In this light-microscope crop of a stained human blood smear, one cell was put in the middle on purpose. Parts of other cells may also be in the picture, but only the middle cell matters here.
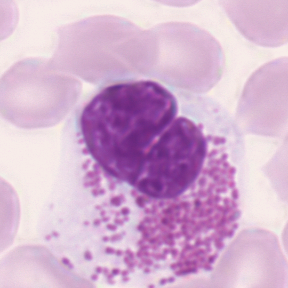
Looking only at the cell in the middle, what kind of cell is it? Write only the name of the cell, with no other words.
eosinophil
